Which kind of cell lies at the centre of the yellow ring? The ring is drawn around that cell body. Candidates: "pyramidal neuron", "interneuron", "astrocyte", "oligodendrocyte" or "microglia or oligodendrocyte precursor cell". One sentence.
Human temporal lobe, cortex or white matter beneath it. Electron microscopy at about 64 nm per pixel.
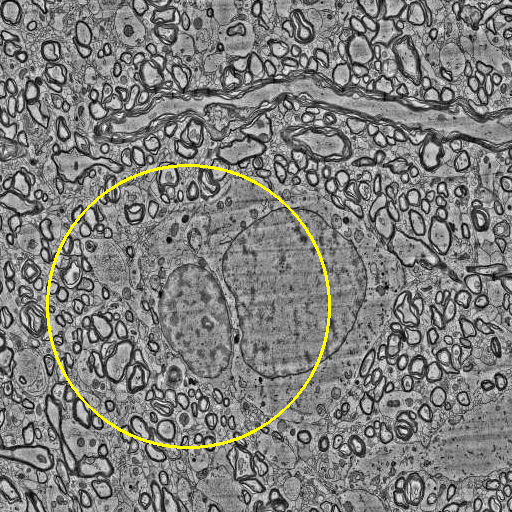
Lying at the centre of the ring is an oligodendrocyte.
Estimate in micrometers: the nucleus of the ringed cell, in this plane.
About 7 by 5 micrometres, the nucleus being clearly longer than it is wide in this plane.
